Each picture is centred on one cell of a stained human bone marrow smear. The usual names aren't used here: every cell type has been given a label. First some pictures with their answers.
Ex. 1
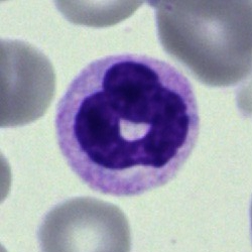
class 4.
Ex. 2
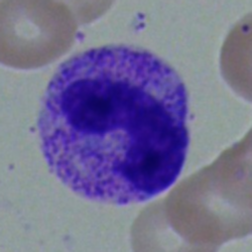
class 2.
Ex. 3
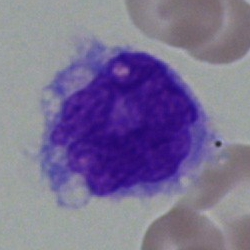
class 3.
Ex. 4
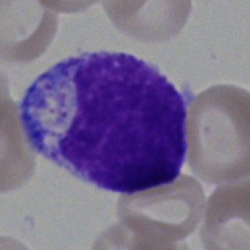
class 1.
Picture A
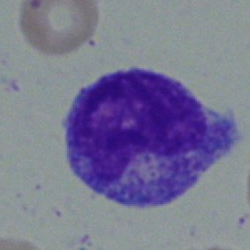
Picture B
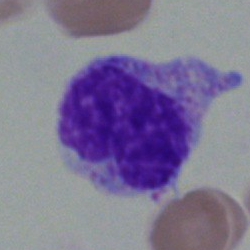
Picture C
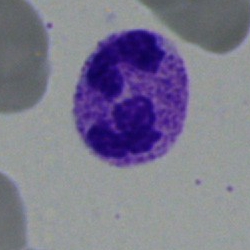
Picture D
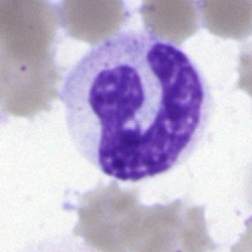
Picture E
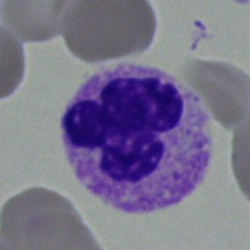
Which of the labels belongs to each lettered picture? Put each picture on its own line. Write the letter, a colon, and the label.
A: class 1.
B: class 3.
C: class 4.
D: class 2.
E: class 4.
